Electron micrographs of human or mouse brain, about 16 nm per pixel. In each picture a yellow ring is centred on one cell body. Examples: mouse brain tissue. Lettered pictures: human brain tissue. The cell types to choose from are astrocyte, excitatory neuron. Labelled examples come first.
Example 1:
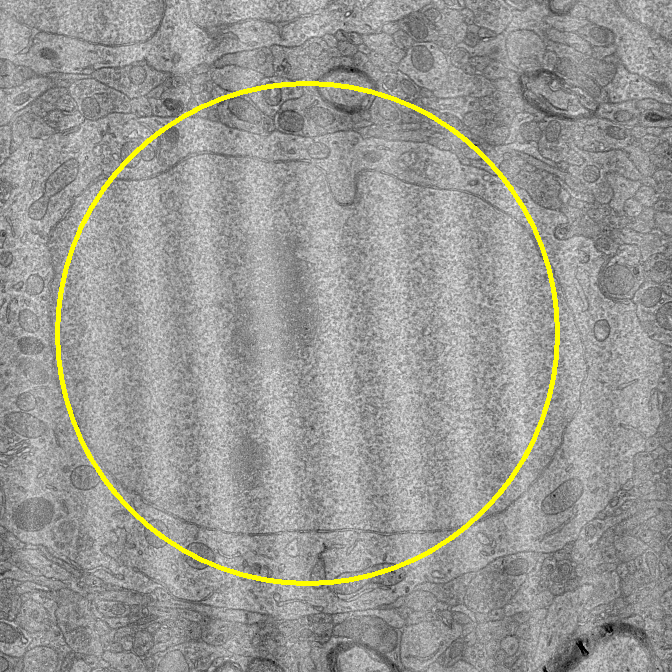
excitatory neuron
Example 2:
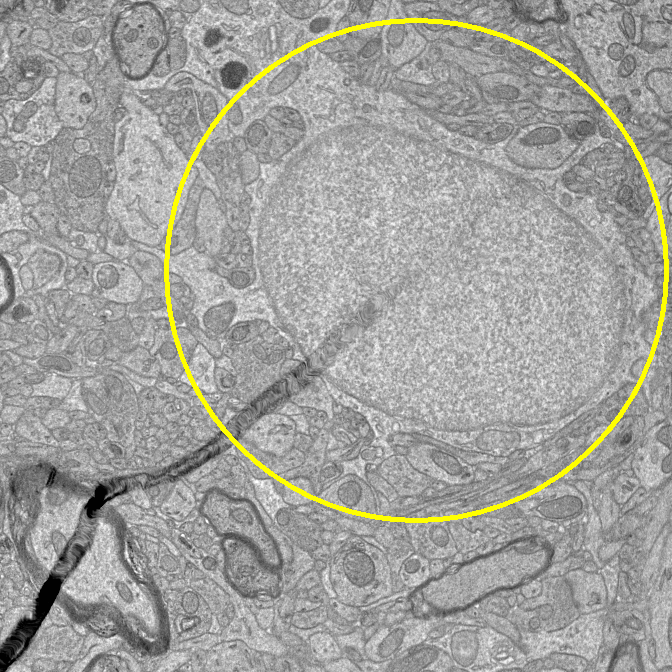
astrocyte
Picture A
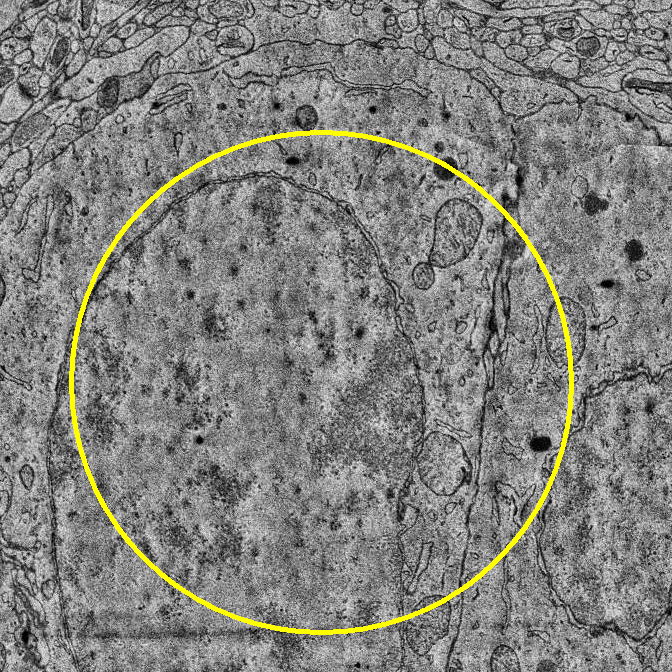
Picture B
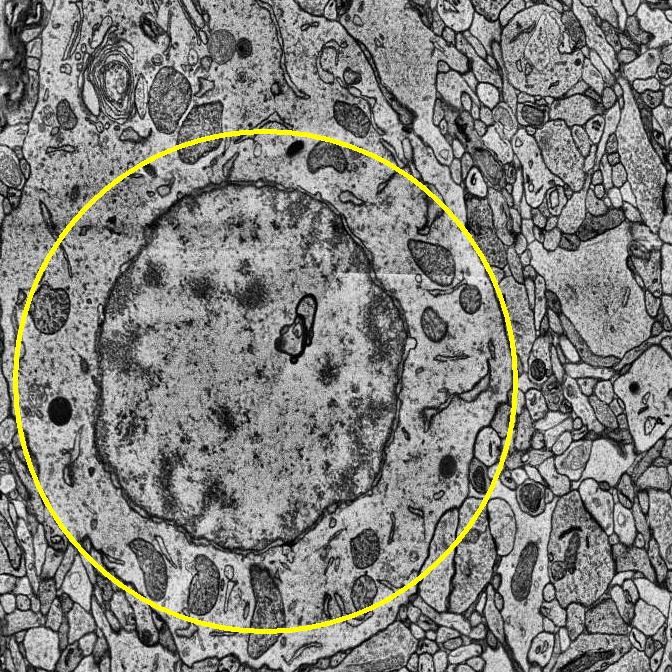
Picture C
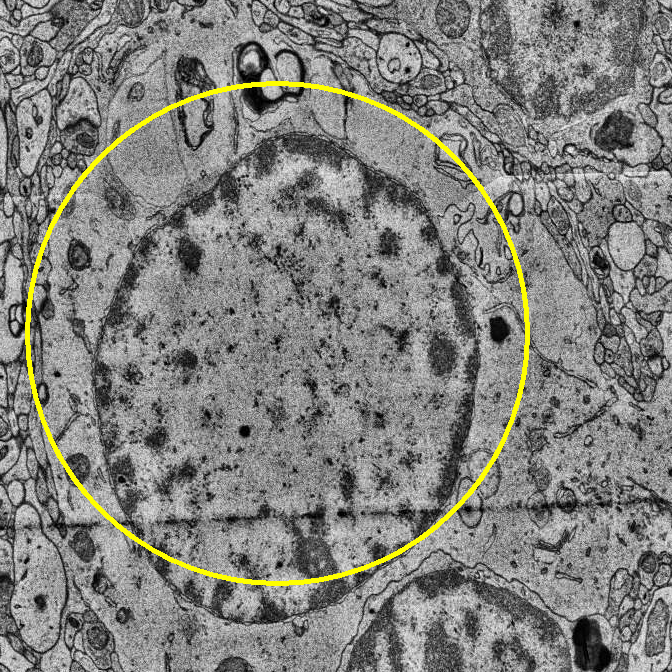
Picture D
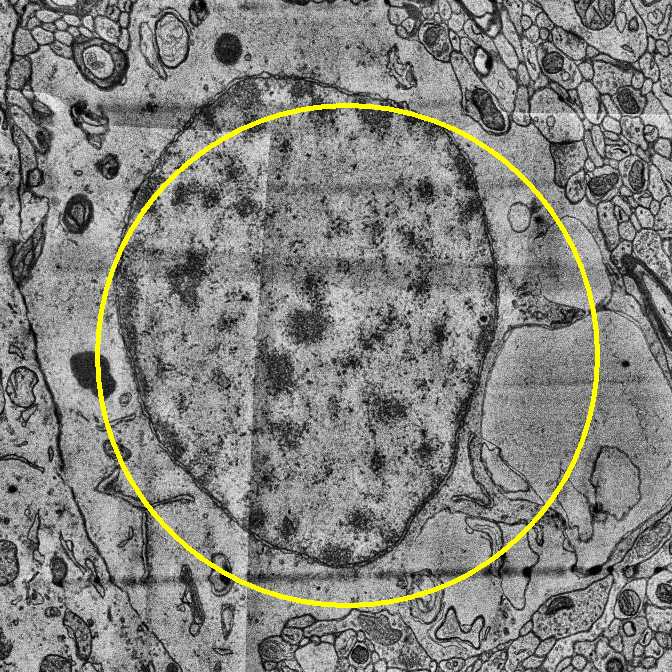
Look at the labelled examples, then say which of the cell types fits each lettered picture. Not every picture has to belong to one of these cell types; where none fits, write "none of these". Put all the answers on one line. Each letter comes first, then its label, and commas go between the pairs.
A excitatory neuron, B excitatory neuron, C astrocyte, D astrocyte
